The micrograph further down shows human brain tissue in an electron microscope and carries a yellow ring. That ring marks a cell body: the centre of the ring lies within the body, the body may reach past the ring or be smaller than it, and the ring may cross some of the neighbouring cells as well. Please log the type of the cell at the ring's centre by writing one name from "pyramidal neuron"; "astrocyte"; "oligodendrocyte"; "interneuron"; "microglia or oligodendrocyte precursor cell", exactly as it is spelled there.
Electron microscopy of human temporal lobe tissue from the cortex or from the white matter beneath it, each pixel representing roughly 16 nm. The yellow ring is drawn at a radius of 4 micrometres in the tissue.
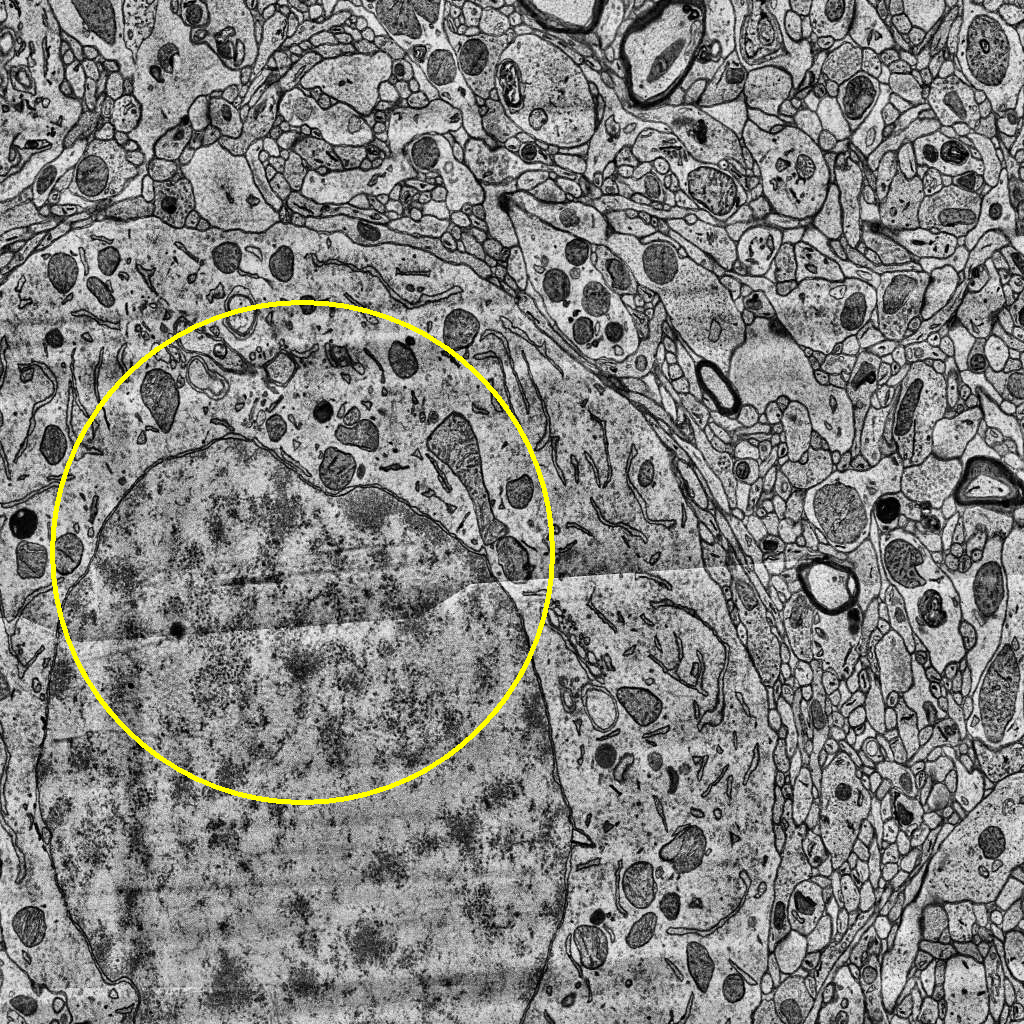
interneuron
